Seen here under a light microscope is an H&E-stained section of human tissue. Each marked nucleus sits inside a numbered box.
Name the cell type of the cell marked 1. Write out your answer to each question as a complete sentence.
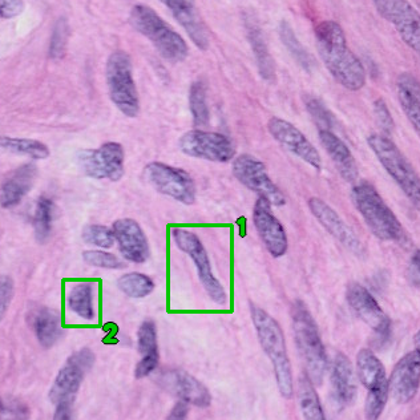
The cell that goes by number 1 is a smooth muscle cell.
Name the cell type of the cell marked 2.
Cell 2 in the field is a fibroblast.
